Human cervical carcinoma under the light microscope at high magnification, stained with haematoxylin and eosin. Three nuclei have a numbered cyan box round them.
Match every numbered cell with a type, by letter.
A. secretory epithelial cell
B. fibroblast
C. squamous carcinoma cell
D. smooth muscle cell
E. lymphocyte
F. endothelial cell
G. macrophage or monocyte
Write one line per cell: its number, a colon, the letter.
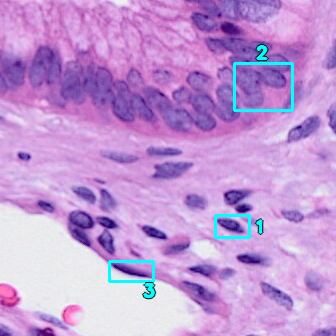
1: B
2: A
3: F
